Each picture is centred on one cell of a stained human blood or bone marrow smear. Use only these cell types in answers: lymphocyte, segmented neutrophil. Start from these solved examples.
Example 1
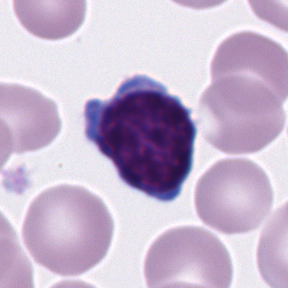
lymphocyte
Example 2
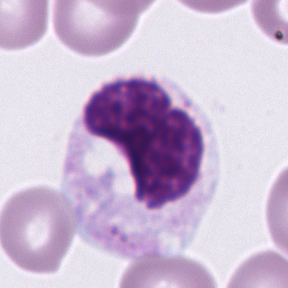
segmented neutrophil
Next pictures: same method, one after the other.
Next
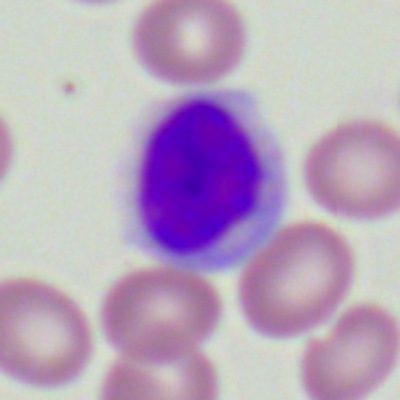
lymphocyte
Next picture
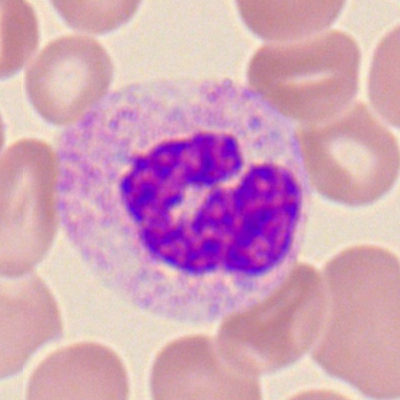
segmented neutrophil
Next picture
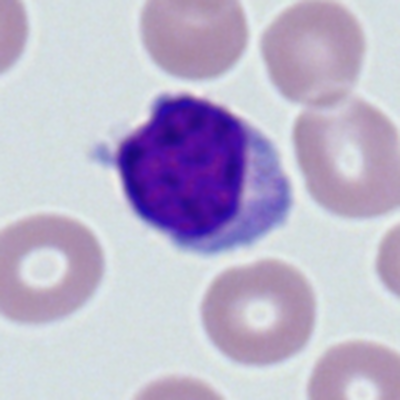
lymphocyte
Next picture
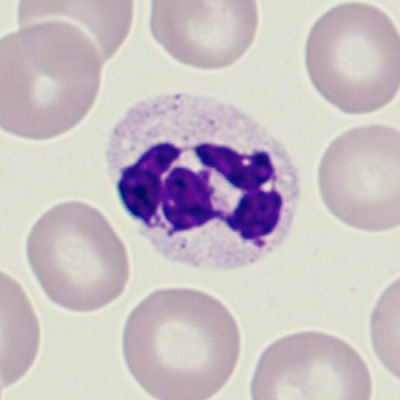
segmented neutrophil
